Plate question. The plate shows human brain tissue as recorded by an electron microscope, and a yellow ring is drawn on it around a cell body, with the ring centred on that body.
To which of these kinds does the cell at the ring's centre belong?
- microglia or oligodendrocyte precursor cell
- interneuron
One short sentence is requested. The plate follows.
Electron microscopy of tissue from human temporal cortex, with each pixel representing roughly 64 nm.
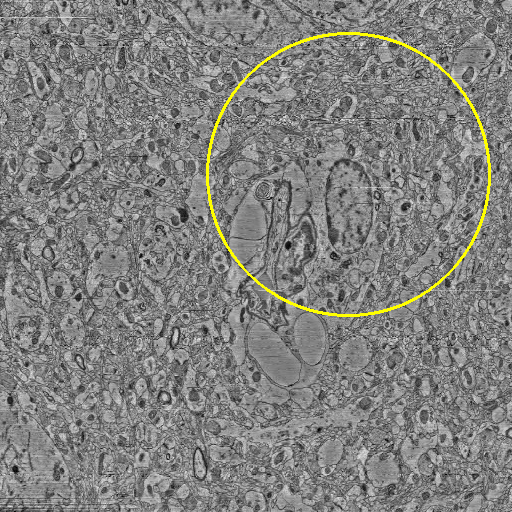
The cell at the ring's centre is a microglial cell or oligodendrocyte precursor cell.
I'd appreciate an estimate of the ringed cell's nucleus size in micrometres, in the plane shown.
About 6 by 3 micrometres; in this plane the nucleus is clearly longer than it is wide.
